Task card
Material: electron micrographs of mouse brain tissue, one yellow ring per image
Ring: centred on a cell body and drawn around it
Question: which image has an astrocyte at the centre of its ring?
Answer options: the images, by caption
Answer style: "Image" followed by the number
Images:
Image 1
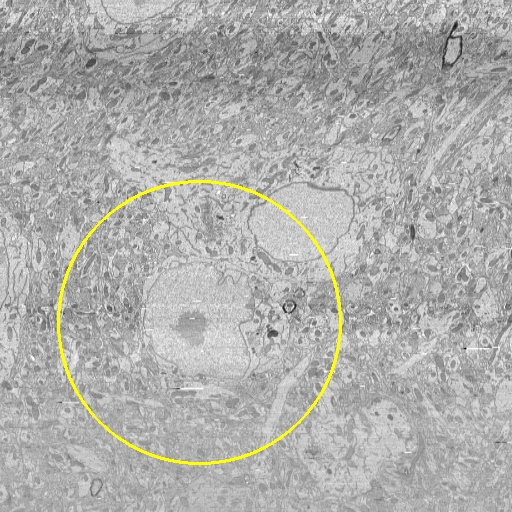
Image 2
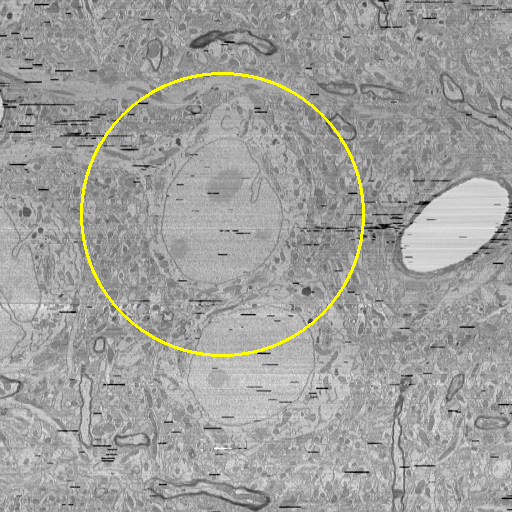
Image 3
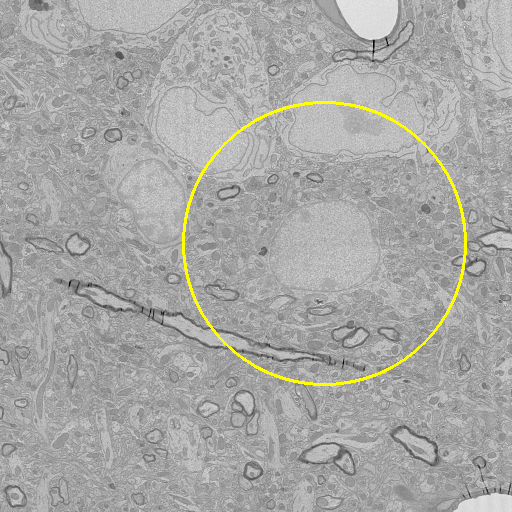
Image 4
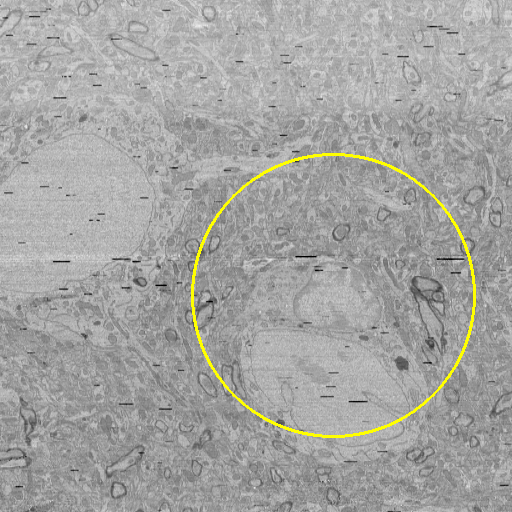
Image 3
